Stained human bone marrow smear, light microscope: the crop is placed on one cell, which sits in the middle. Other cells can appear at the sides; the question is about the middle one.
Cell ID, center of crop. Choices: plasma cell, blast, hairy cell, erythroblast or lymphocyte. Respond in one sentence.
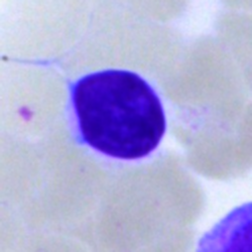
At the center of the crop sits a lymphocyte.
